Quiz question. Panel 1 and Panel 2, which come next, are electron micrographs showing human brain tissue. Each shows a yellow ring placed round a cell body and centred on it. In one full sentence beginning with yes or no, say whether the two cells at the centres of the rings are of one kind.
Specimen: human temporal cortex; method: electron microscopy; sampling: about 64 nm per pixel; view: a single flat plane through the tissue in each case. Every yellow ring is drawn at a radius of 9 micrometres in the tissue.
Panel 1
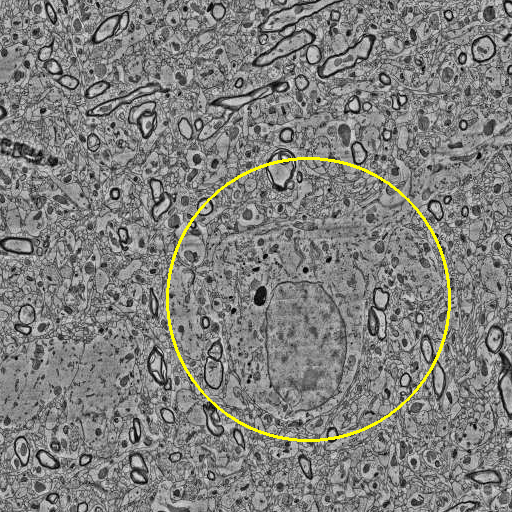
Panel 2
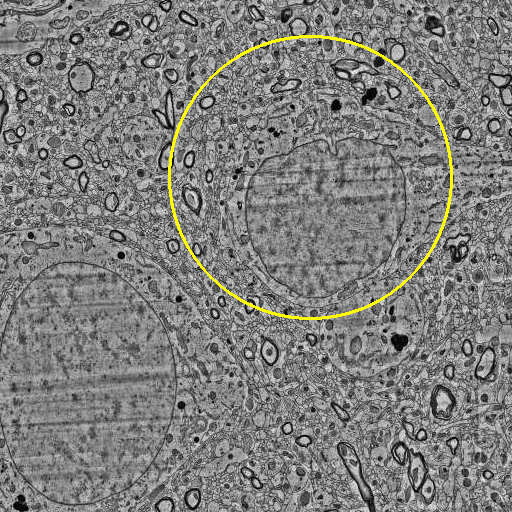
Yes, Panel 1 and Panel 2 show one kind of cell at the centre of the ring.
